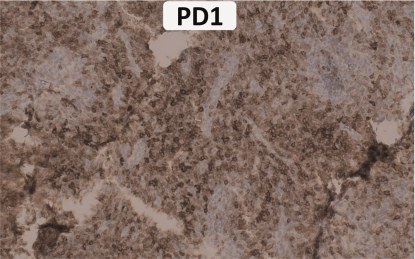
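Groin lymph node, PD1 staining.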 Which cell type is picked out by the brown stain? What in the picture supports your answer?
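Dense strong brown staining of many cells. Stained cells in broad sheets between unstained areas. That points to this answer: atypical lymphoid cells.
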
